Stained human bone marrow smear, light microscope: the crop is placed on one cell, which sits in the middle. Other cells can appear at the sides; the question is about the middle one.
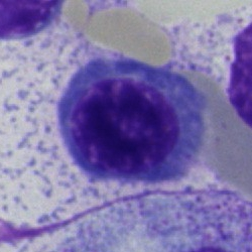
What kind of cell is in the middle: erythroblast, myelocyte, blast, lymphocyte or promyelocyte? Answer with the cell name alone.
erythroblast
